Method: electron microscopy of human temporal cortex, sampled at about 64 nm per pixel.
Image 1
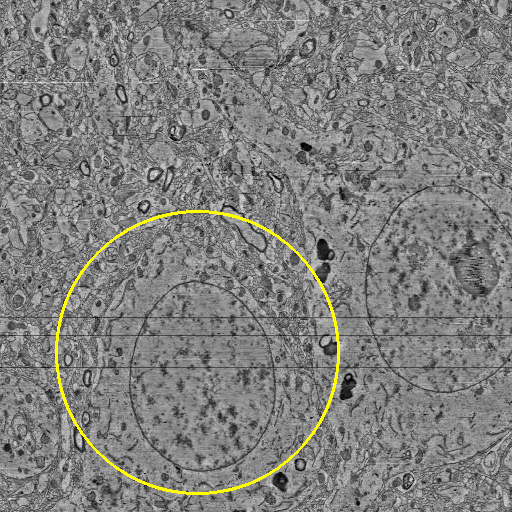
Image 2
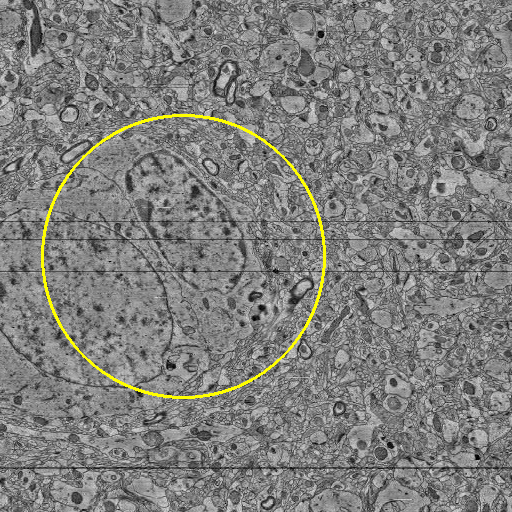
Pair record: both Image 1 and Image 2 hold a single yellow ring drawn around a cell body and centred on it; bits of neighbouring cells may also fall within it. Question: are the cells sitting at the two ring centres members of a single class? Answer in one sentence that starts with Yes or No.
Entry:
No, the ring-centre cells in Image 1 and Image 2 come from two classes.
